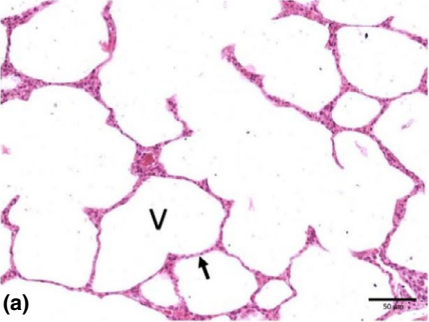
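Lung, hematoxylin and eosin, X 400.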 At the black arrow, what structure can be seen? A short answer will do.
Interalveolar septa.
